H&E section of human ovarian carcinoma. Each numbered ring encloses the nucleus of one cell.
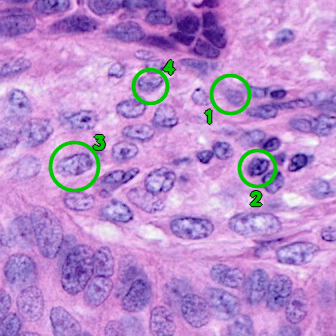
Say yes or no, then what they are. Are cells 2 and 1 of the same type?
No, cell 2 is a lymphocyte and cell 1 is a fibroblast.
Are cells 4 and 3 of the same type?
Yes, both are fibroblasts.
